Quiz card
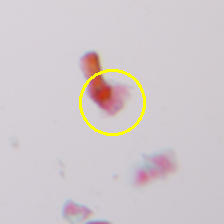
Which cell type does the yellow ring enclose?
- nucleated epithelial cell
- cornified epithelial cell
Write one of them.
cornified epithelial cell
